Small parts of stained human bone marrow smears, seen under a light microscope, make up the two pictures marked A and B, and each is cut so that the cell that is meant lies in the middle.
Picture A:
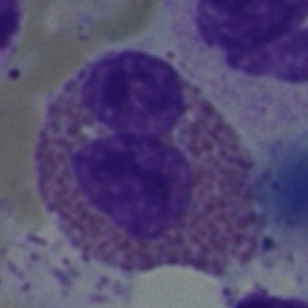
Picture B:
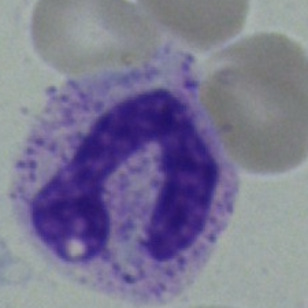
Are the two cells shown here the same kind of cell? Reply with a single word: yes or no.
no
